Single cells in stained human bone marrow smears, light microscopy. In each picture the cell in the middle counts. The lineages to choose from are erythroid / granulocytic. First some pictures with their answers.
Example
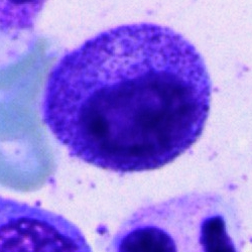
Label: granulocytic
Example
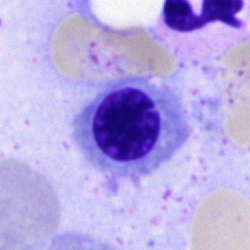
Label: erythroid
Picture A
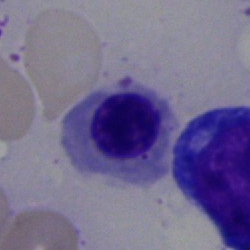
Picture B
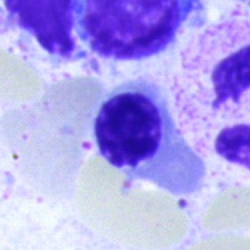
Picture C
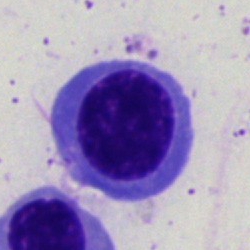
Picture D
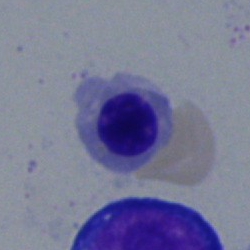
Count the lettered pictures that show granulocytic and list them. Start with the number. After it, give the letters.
0, none of them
